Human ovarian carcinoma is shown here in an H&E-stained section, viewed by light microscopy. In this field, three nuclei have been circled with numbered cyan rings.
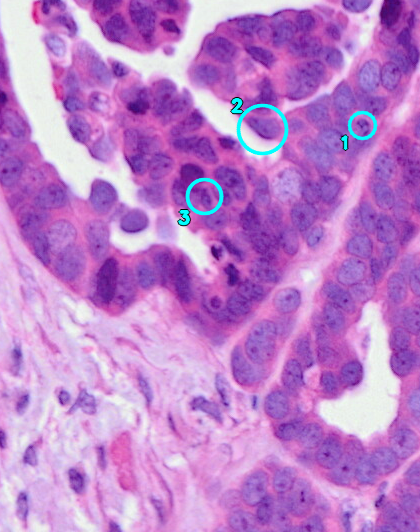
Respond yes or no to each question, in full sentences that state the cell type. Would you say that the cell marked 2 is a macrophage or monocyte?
No, cell 2 counts as a carcinoma cell rather than as a macrophage or monocyte.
